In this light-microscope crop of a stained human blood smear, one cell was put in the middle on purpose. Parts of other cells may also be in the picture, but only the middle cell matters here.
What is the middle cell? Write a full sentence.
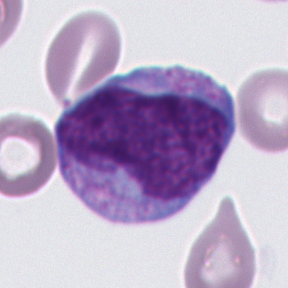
The cell marked by its central position in the crop is an atypical promyelocyte.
